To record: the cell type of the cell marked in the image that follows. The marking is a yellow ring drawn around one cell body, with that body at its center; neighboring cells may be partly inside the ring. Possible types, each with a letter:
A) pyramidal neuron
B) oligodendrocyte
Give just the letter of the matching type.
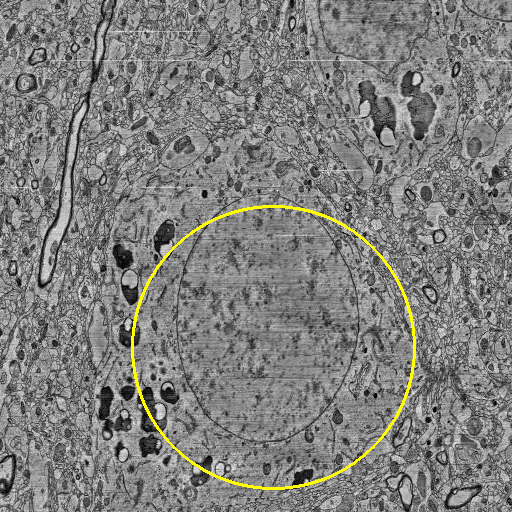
A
